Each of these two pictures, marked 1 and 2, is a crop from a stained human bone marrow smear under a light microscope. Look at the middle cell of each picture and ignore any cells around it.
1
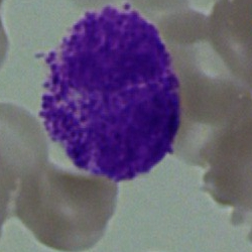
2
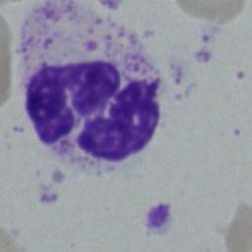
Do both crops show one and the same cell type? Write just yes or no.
yes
